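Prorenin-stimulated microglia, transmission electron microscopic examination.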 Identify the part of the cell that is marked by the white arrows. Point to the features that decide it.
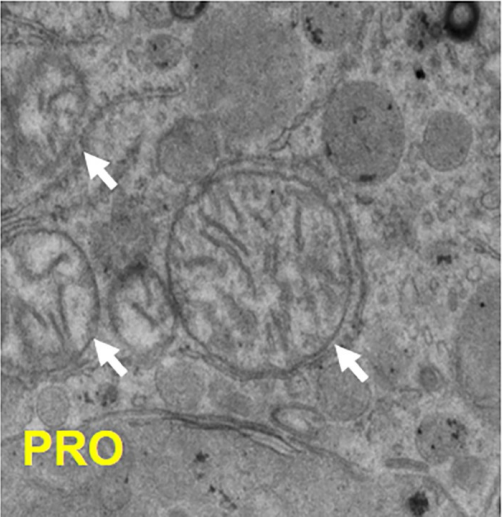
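The arrows point to oval organelles bounded by a double membrane. Internal membrane folds (cristae) are visible inside the marked organelles. So: mitochondria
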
